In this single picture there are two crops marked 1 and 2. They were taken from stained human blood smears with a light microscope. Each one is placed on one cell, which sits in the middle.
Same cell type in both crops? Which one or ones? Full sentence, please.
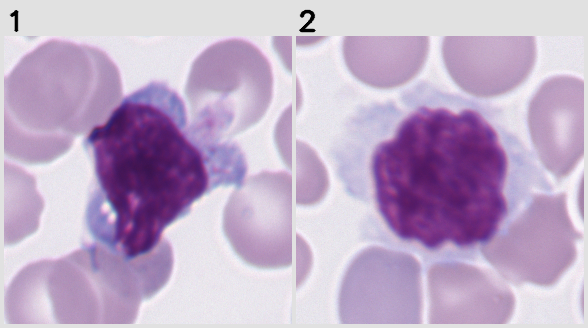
No, while a typical lymphocyte is found in crop 1, a hairy cell is found in crop 2.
